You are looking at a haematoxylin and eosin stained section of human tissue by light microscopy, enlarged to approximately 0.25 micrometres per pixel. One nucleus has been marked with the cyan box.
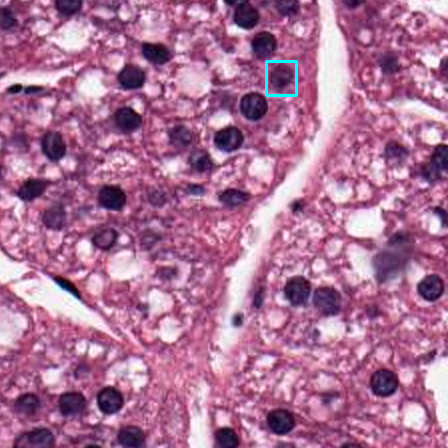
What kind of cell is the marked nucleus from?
adrenal cortical cell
